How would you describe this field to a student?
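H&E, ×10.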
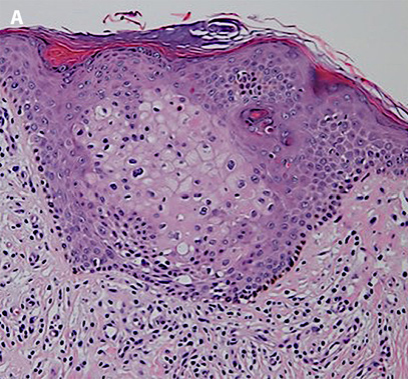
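This is skin, and within the epidermis sits a sharply bordered nest of enlarged tumor cells with pale, clear-looking pink cytoplasm. Their nuclei vary in size and shape and many are dark, in contrast to the small, crowded dark cells that form a rim around the nest and make up the surrounding epidermis. On top lies a layer of compact pink and purple keratin.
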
